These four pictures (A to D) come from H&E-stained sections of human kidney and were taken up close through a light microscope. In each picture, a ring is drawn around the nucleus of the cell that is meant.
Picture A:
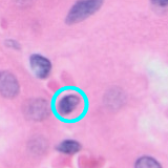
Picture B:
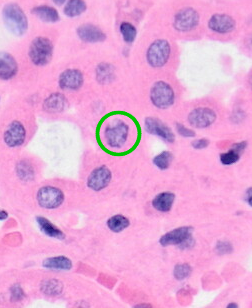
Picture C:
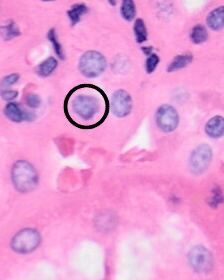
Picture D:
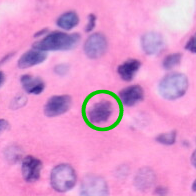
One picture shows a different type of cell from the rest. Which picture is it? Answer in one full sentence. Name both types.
The different one is picture A; it shows an endothelial cell, whereas all the others show “loop of Henle or distal tubule cells”.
